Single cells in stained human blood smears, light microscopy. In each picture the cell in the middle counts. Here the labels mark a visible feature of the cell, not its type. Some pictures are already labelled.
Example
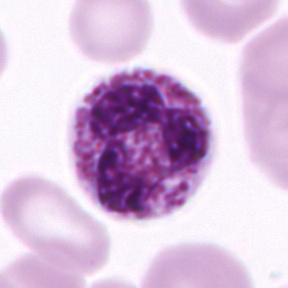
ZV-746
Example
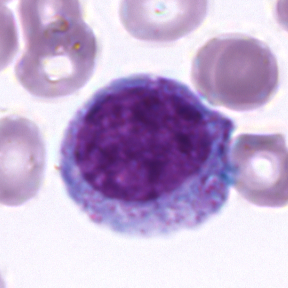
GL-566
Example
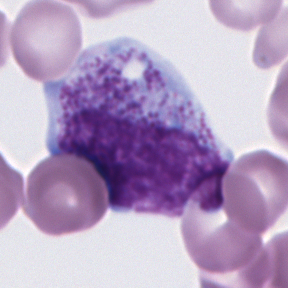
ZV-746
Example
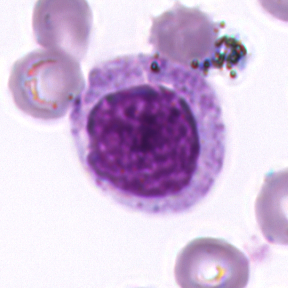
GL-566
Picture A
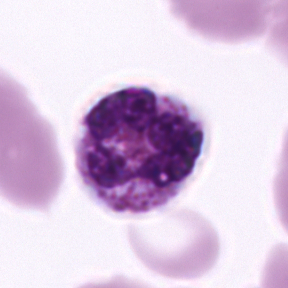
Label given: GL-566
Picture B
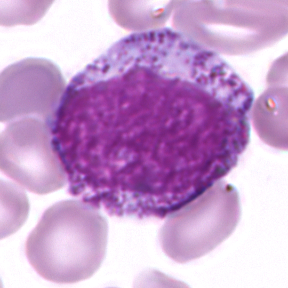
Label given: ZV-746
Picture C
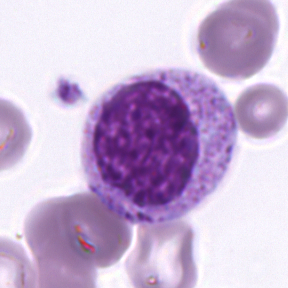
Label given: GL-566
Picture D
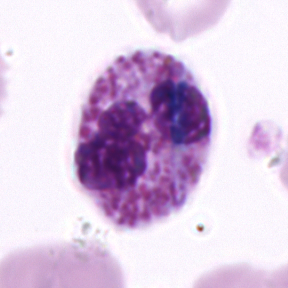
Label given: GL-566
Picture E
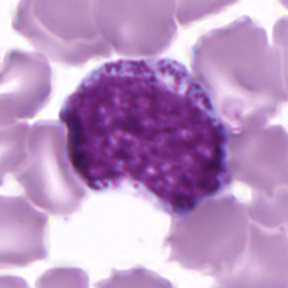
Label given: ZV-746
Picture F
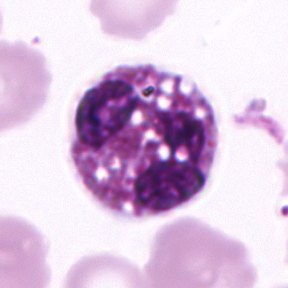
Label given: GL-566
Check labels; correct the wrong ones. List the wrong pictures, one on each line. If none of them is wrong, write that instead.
A is labelled GL-566; correct label: ZV-746
D is labelled GL-566; correct label: ZV-746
